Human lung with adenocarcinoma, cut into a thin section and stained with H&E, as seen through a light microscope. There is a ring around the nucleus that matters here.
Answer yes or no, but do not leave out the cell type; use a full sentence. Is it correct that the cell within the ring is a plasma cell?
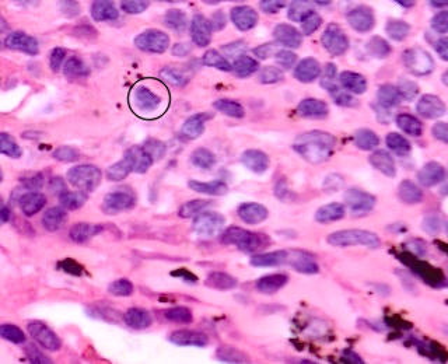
No, in this section the cell within the ring is a lymphocyte and not a plasma cell.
